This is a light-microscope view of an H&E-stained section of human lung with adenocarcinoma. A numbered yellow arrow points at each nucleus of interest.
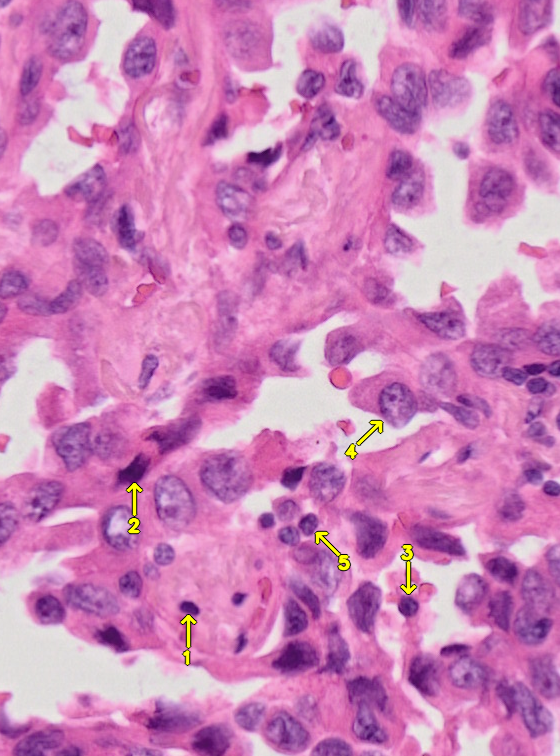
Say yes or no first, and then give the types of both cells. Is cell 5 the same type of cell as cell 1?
Yes, both are lymphocytes.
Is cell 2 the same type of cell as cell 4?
Yes, both are carcinoma cells.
